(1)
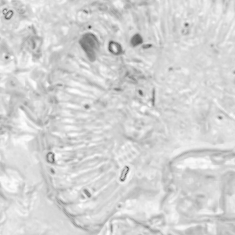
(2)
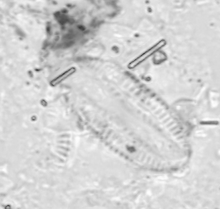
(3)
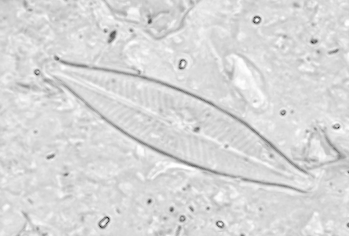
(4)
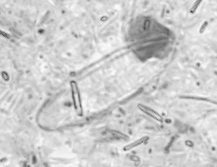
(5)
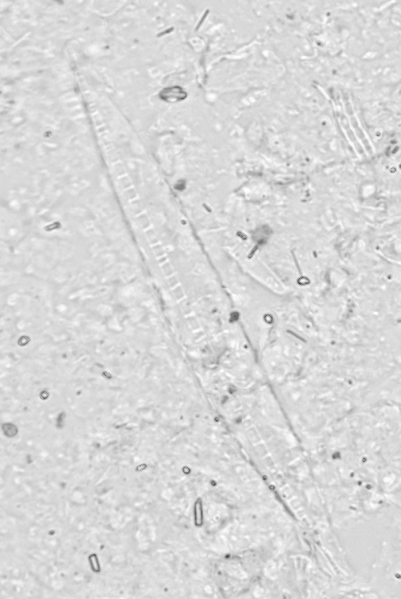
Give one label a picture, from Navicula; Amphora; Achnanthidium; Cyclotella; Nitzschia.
1: Cyclotella
2: Amphora
3: Navicula
4: Achnanthidium
5: Nitzschia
